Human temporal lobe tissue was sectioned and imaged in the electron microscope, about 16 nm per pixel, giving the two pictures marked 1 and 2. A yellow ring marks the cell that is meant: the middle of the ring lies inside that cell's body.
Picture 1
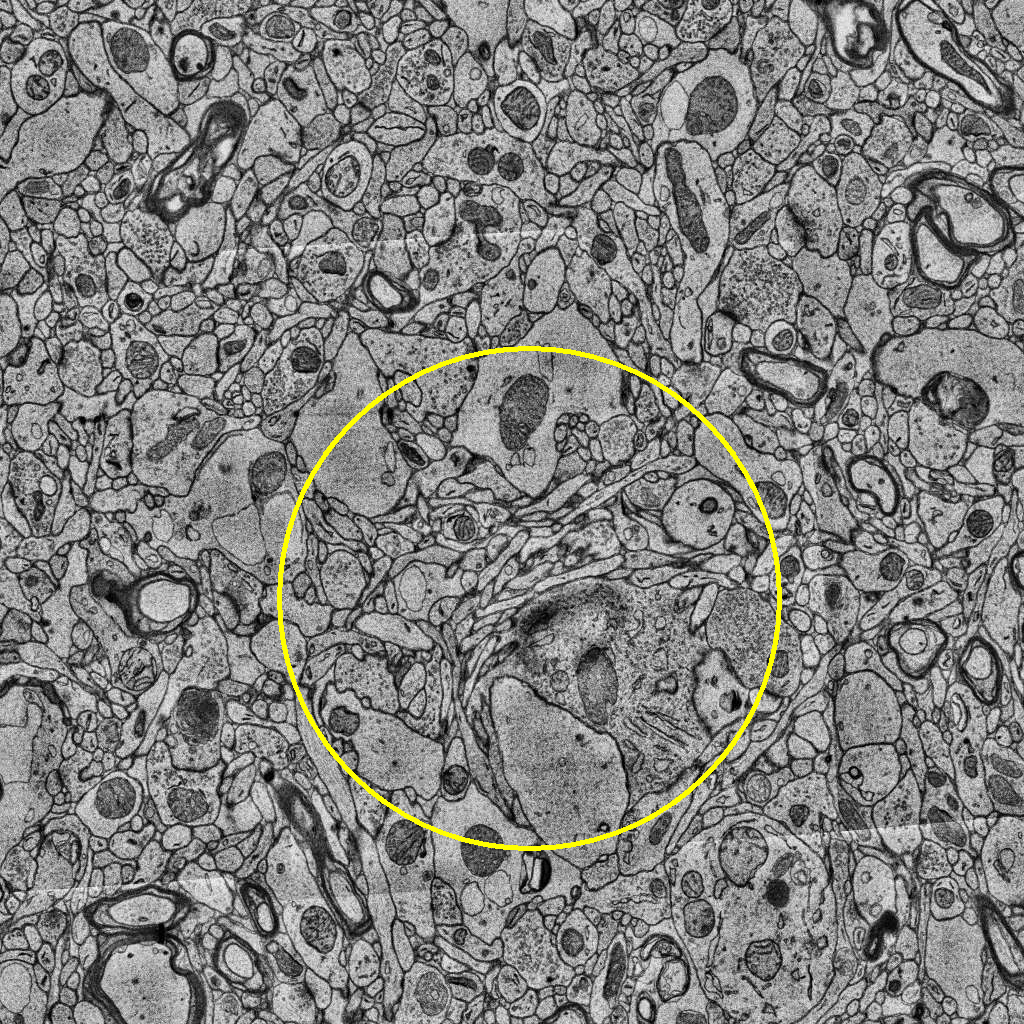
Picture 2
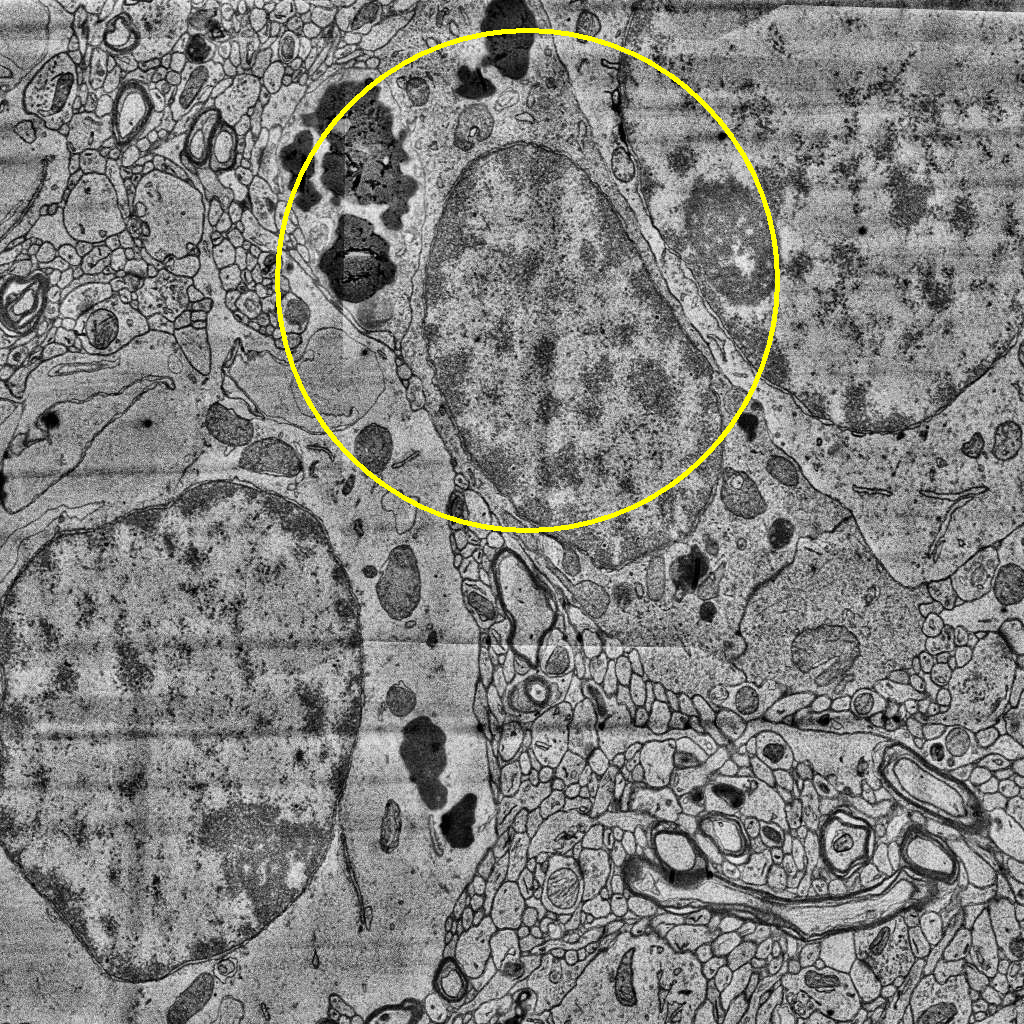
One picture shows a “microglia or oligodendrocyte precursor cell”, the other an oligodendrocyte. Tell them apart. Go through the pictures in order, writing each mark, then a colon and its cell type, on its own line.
1: oligodendrocyte
2: microglia or oligodendrocyte precursor cell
